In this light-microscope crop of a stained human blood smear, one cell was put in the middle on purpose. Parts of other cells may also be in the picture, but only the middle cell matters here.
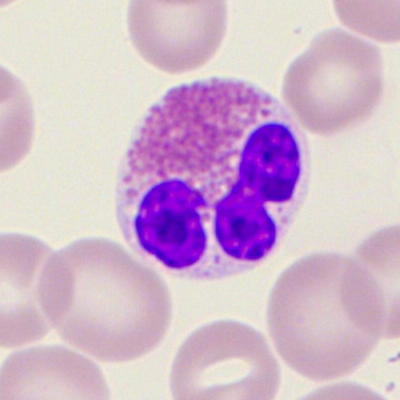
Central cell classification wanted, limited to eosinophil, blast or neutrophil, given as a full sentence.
The central cell, amid any neighbouring cells, is an eosinophil.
